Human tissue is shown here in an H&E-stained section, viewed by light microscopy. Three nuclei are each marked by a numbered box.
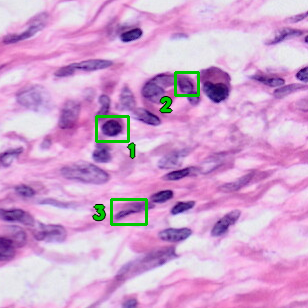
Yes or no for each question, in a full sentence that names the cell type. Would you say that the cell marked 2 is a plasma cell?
No, number 2 is not a plasma cell but an endothelial cell.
